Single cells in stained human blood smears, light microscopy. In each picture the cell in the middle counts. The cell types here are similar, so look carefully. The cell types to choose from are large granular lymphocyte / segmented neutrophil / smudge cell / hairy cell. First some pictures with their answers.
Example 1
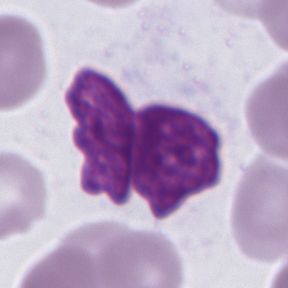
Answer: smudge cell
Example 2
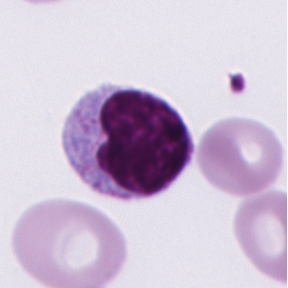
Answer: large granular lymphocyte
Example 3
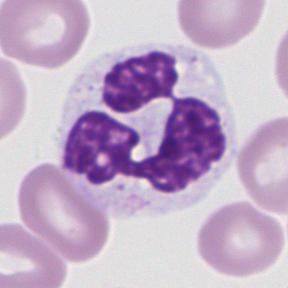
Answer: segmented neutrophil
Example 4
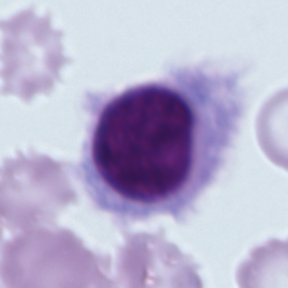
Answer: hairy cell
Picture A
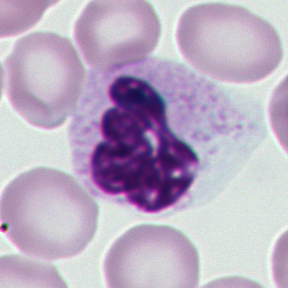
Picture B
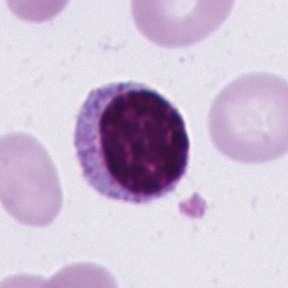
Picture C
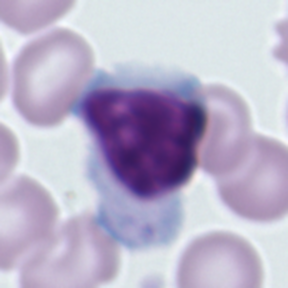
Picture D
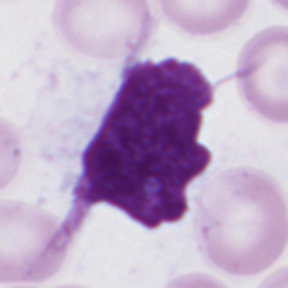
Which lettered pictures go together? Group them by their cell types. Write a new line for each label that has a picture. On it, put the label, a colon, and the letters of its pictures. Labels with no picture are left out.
large granular lymphocyte: B, C
segmented neutrophil: A
smudge cell: D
